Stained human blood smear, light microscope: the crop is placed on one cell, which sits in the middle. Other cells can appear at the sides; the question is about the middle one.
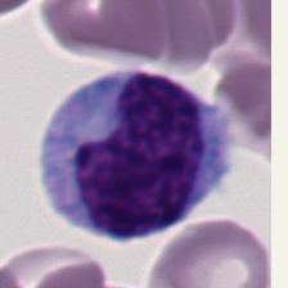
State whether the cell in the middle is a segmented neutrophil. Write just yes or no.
no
